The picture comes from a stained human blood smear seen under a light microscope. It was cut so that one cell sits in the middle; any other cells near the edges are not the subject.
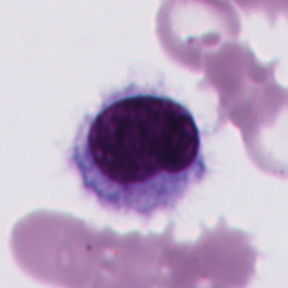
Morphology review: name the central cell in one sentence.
At the center of the crop sits a hairy cell.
